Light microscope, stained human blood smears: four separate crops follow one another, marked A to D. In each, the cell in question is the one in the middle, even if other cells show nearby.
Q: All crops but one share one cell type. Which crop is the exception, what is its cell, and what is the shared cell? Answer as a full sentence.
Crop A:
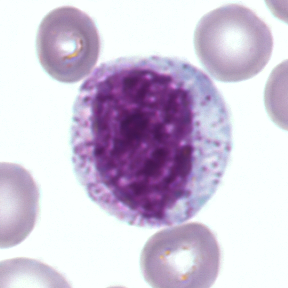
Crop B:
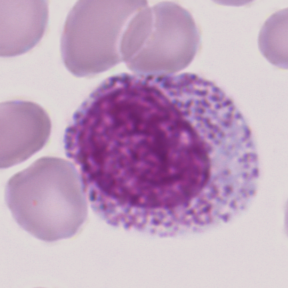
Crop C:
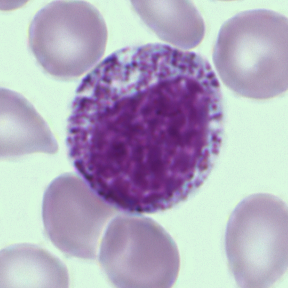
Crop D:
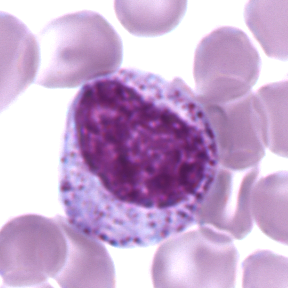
Crop A is the outlier, with a metamyelocyte against myelocytes in the rest.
